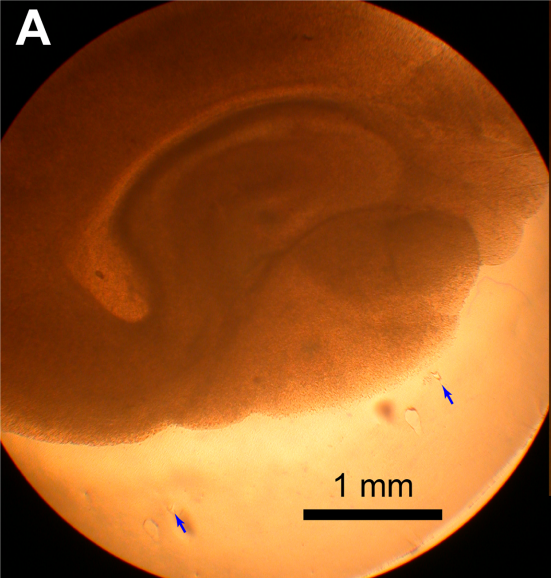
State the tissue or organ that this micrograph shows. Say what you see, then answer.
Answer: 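Hippocampal structure. A curved C-shaped darker band arches across the upper part of the tissue. A second smaller curved band lies nested inside the first. The tissue is a flat slice lying on a pale background.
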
